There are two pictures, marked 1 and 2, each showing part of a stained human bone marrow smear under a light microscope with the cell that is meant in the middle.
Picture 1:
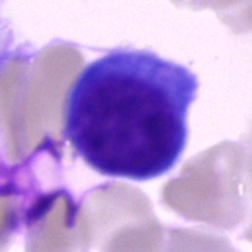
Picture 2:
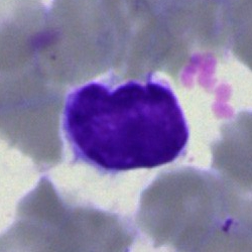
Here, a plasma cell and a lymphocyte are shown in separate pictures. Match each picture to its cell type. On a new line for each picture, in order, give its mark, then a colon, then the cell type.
1: plasma cell
2: lymphocyte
